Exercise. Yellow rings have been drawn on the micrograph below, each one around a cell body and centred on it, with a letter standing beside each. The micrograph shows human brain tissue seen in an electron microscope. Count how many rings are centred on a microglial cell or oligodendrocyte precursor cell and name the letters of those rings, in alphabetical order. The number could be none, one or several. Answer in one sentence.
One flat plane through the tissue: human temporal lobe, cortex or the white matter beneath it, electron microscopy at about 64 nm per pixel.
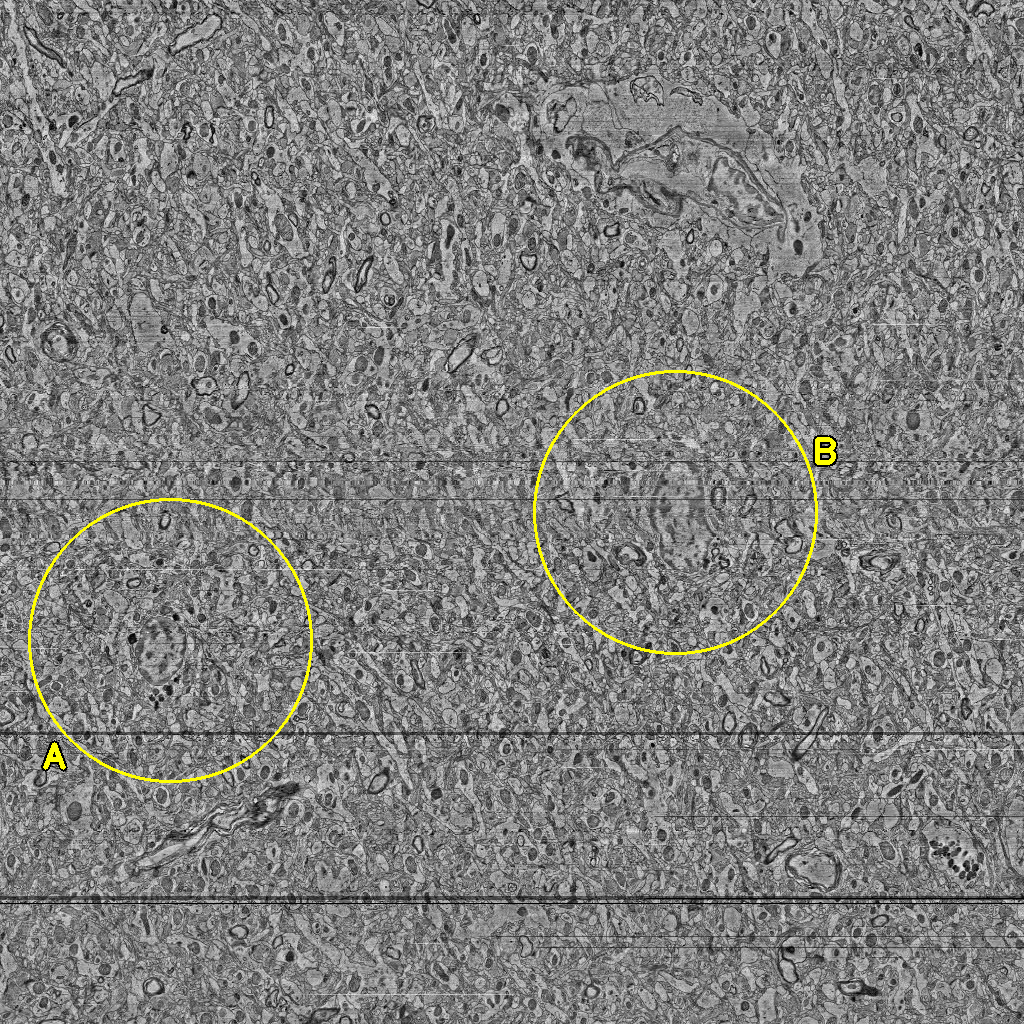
The micrograph contains two rings each centred on a microglial cell or oligodendrocyte precursor cell, lettered A and B.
